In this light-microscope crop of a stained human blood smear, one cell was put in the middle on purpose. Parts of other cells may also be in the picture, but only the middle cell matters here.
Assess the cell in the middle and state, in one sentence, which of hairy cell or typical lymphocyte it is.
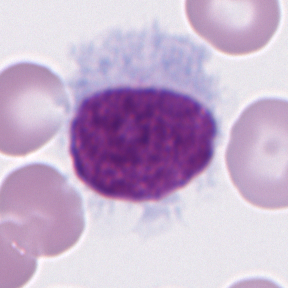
This crop has a hairy cell at its centre.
